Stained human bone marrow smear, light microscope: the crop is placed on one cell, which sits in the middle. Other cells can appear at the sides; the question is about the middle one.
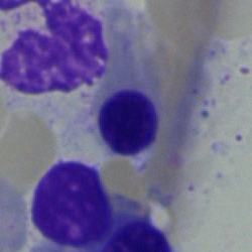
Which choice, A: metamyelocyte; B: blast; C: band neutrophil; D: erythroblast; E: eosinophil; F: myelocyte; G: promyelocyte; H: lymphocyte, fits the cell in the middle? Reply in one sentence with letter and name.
It is an erythroblast that occupies the centre of the crop, so option D is correct.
